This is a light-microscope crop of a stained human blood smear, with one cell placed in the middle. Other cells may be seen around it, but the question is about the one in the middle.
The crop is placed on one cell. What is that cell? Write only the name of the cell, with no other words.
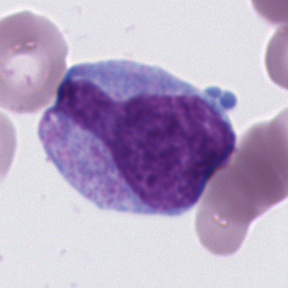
atypical promyelocyte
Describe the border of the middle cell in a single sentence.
The periphery of this cell is uneven, with ragged portions or projections.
